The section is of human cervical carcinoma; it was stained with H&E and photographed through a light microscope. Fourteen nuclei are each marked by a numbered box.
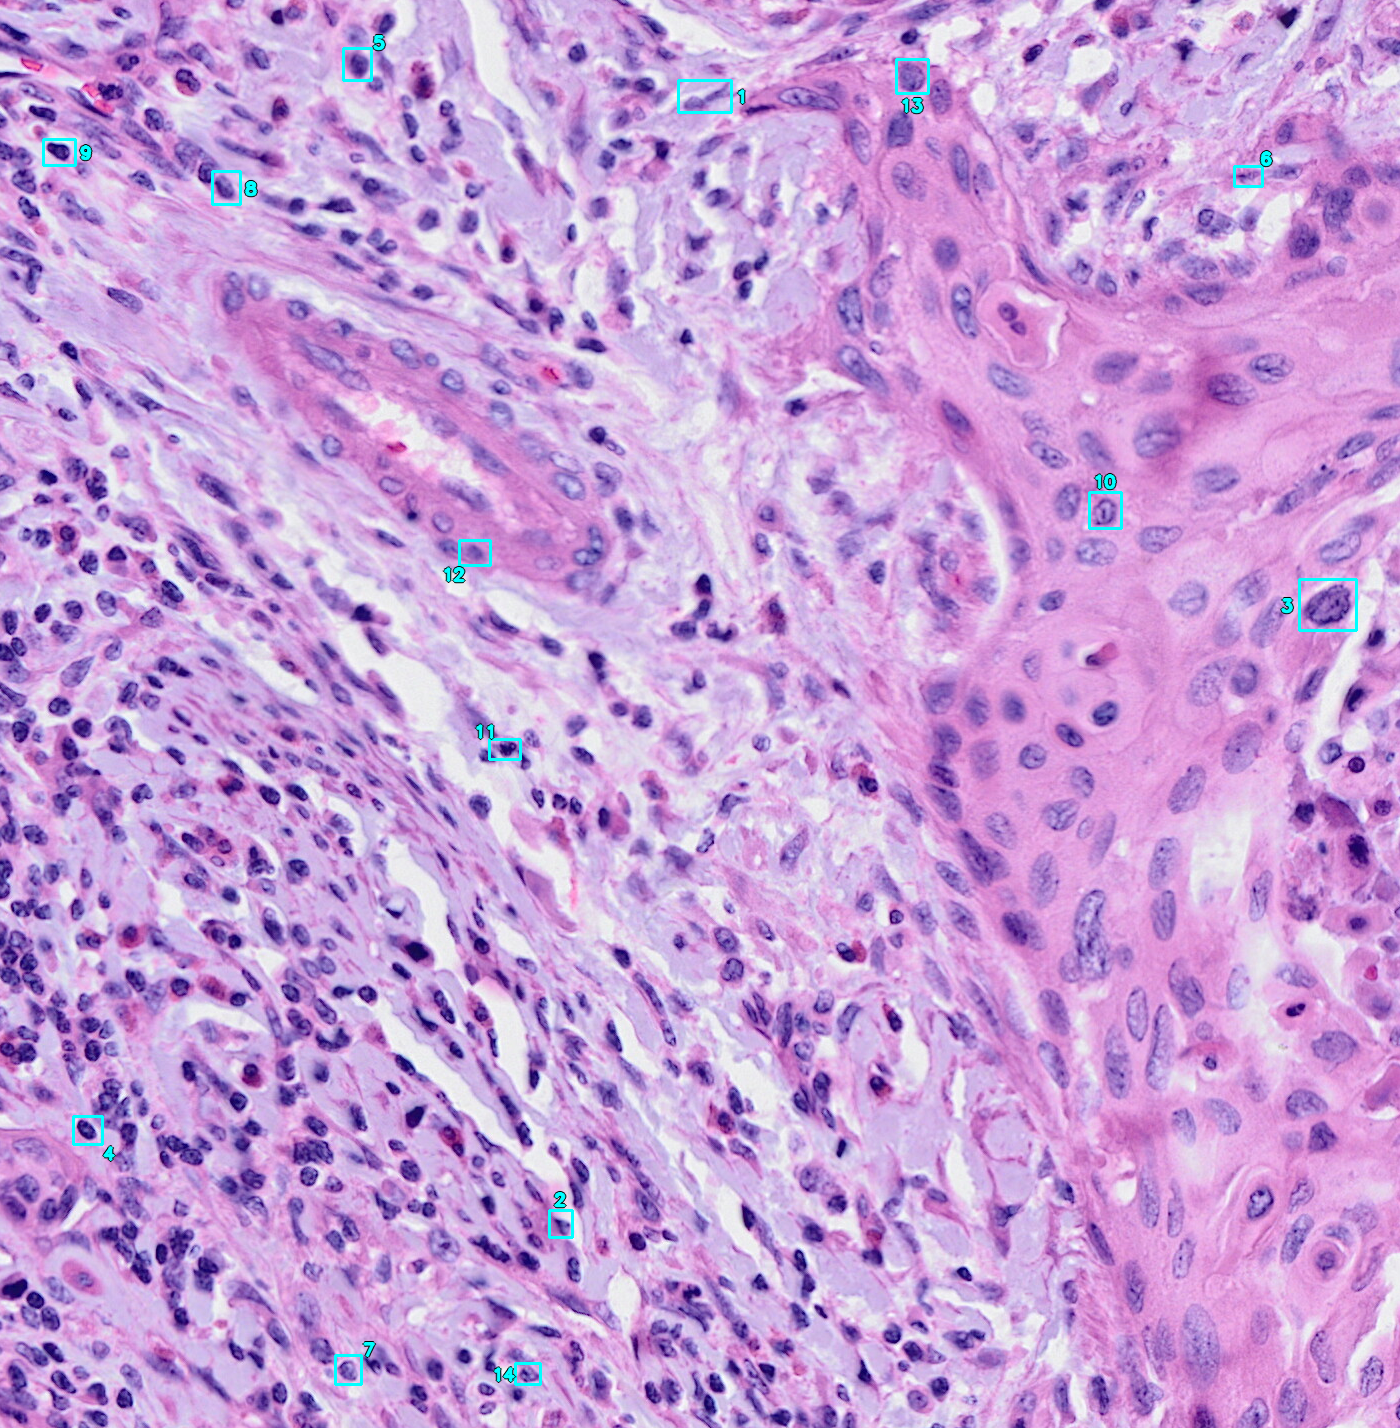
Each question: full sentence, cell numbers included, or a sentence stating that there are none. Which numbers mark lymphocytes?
The cells marked 2, 4, 5, 7, 8, 9, 11 and 14 in the section are lymphocytes.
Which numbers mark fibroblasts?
Cells 1 and 6 are classified as fibroblasts.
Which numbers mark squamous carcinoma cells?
The cells carrying the numbers 3, 10 and 13 are squamous carcinoma cells.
